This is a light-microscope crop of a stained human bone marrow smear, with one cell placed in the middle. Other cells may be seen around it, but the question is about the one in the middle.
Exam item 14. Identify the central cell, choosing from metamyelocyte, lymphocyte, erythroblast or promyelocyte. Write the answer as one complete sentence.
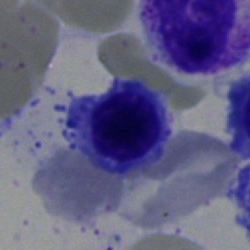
Answering briefly, the cell in the middle is an erythroblast.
